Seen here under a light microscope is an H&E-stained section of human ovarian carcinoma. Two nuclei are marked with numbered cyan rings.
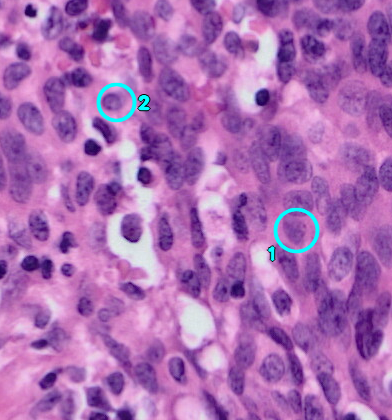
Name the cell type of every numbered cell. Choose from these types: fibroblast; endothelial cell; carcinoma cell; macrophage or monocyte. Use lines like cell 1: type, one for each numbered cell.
cell 1: carcinoma cell
cell 2: macrophage or monocyte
